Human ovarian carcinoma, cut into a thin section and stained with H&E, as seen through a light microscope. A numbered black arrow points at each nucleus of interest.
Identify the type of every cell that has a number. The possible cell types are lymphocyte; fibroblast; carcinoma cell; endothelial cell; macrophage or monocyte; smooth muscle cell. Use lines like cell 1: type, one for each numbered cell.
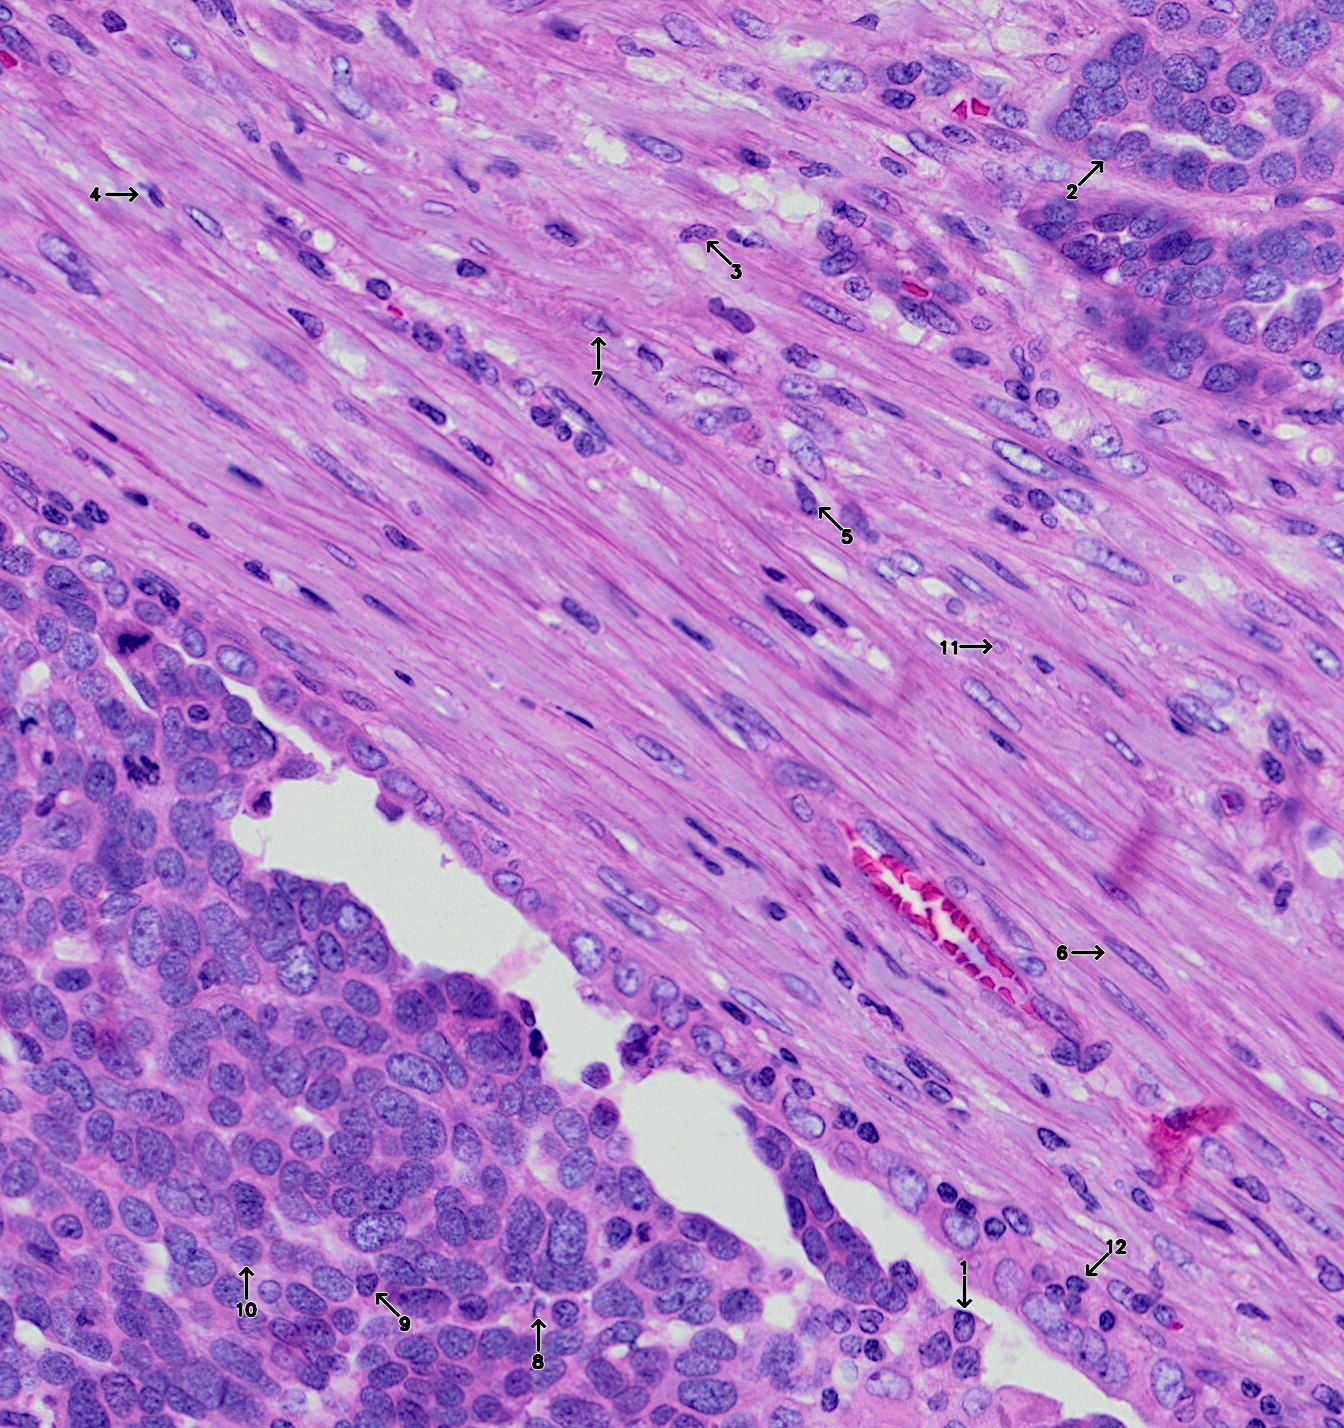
cell 1: macrophage or monocyte
cell 2: carcinoma cell
cell 3: macrophage or monocyte
cell 4: macrophage or monocyte
cell 5: fibroblast
cell 6: fibroblast
cell 7: fibroblast
cell 8: macrophage or monocyte
cell 9: macrophage or monocyte
cell 10: carcinoma cell
cell 11: fibroblast
cell 12: lymphocyte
